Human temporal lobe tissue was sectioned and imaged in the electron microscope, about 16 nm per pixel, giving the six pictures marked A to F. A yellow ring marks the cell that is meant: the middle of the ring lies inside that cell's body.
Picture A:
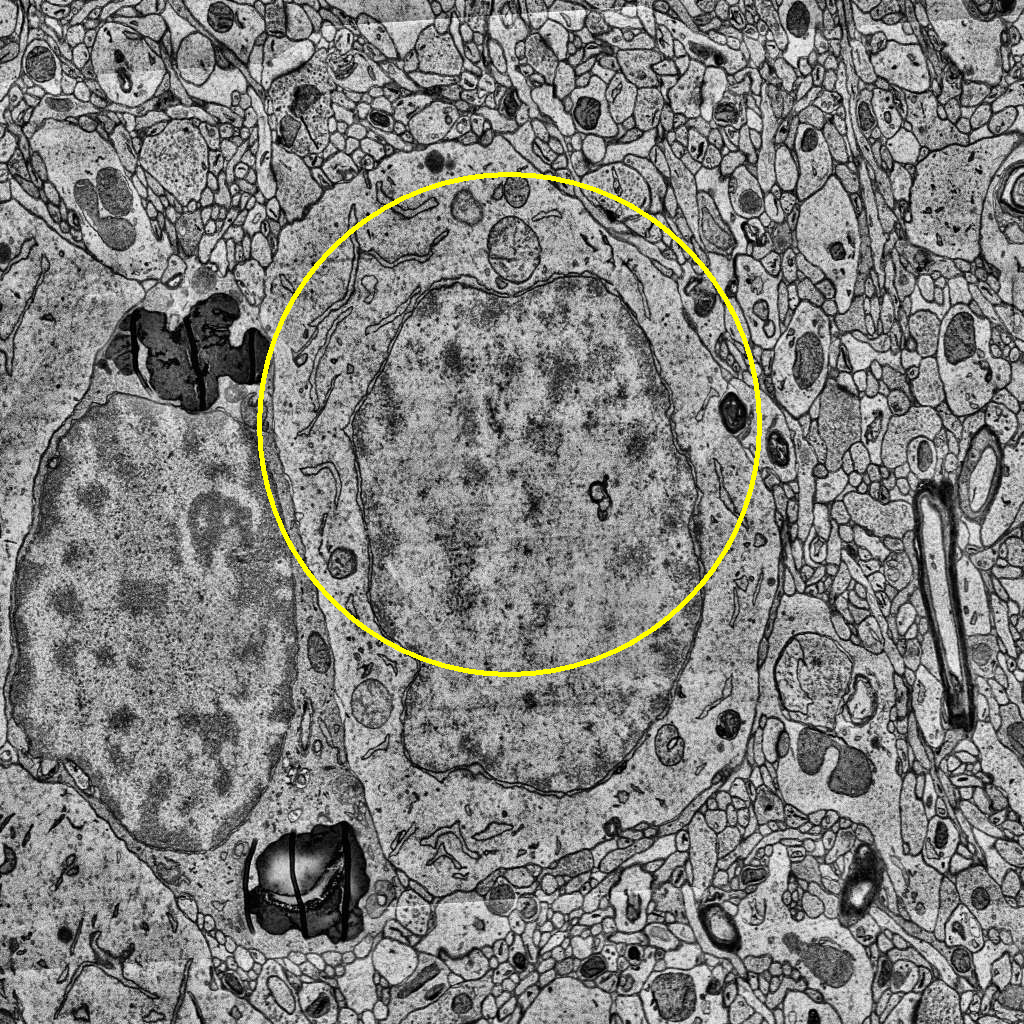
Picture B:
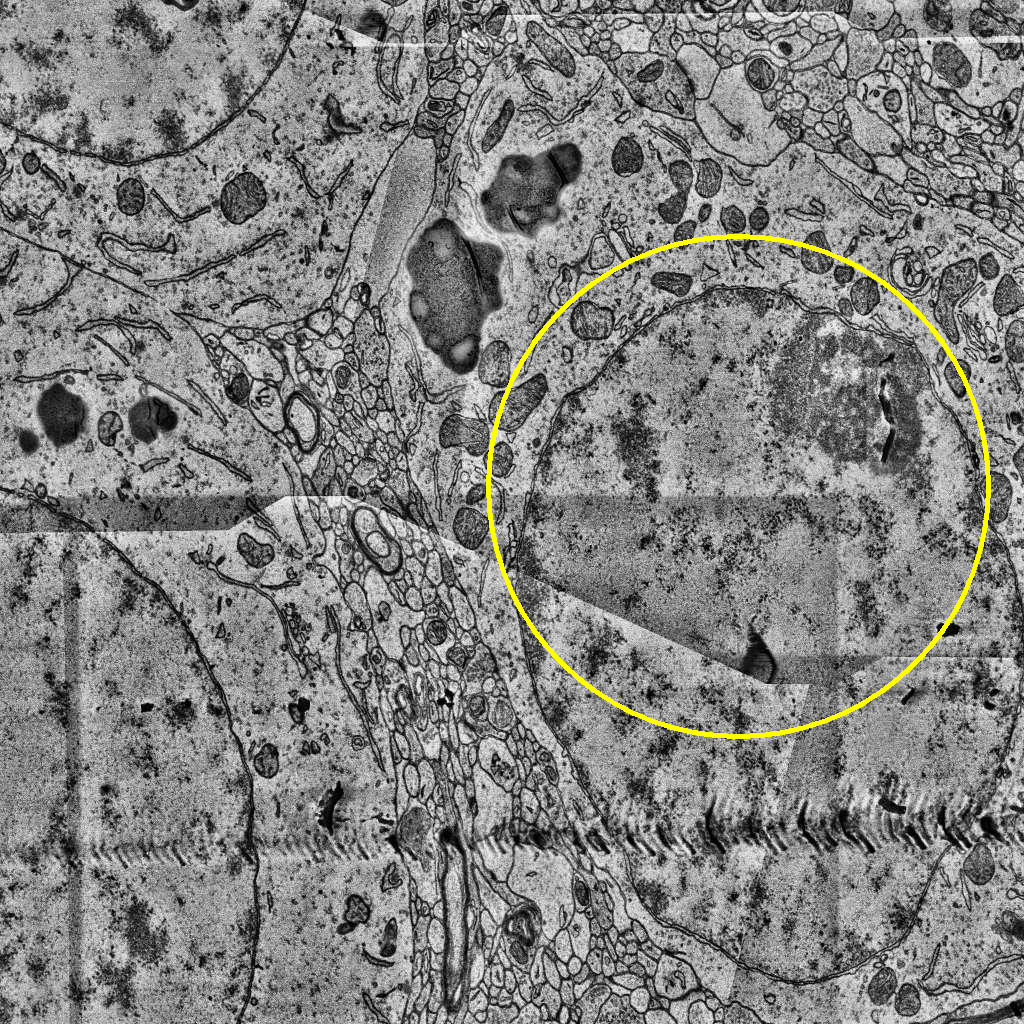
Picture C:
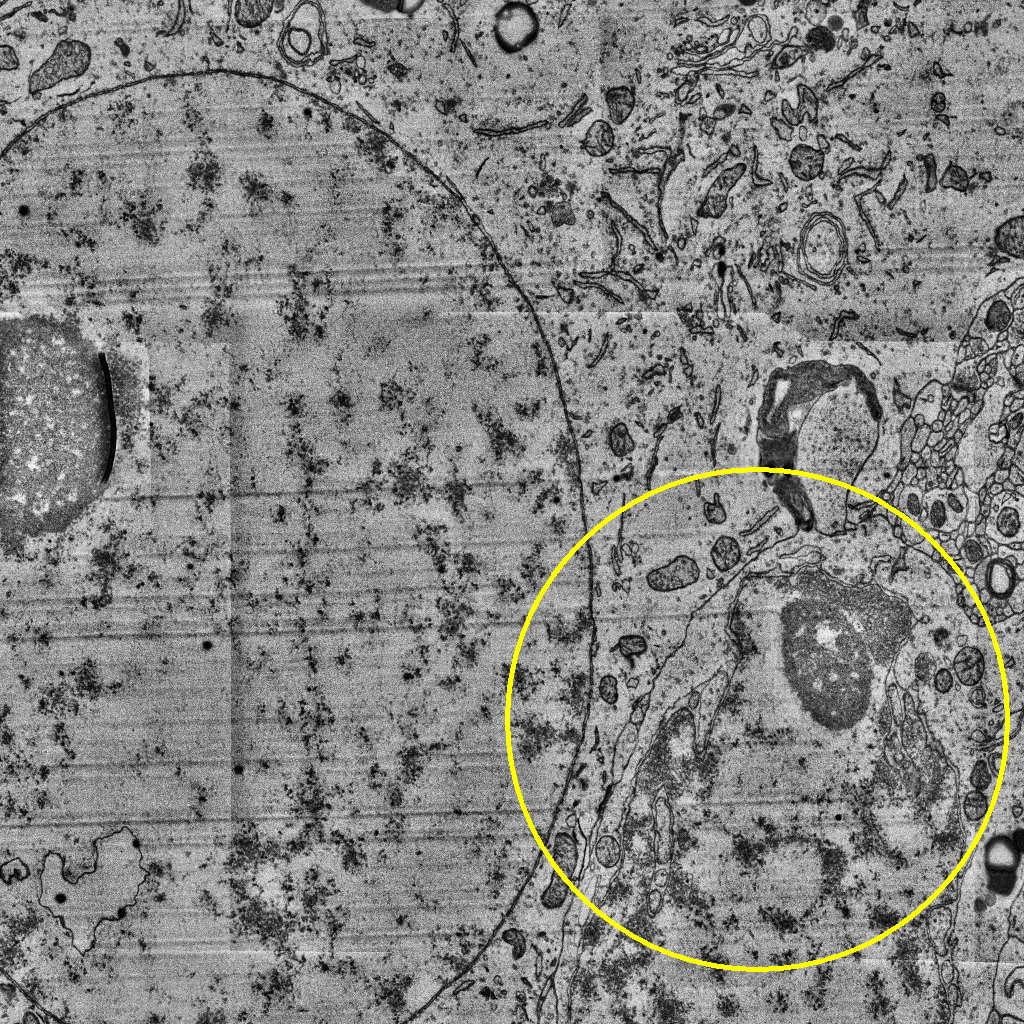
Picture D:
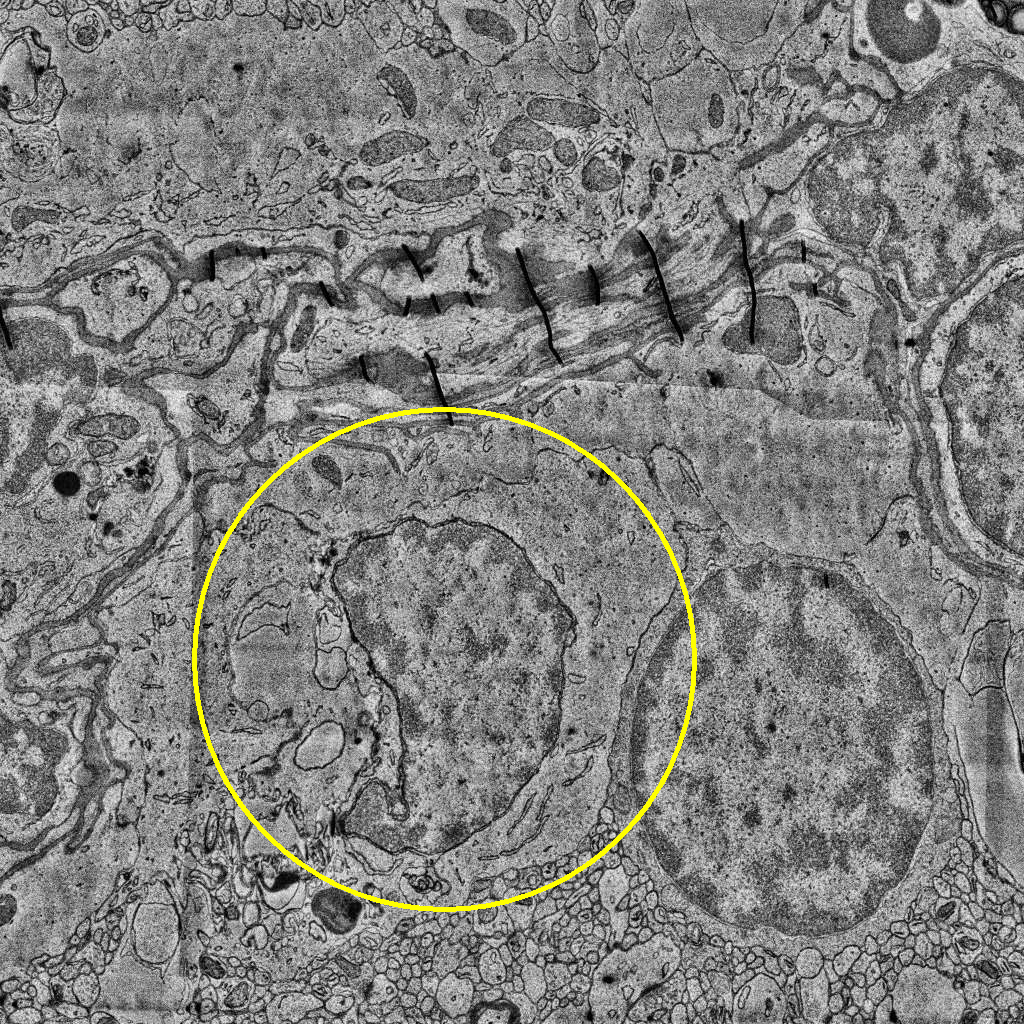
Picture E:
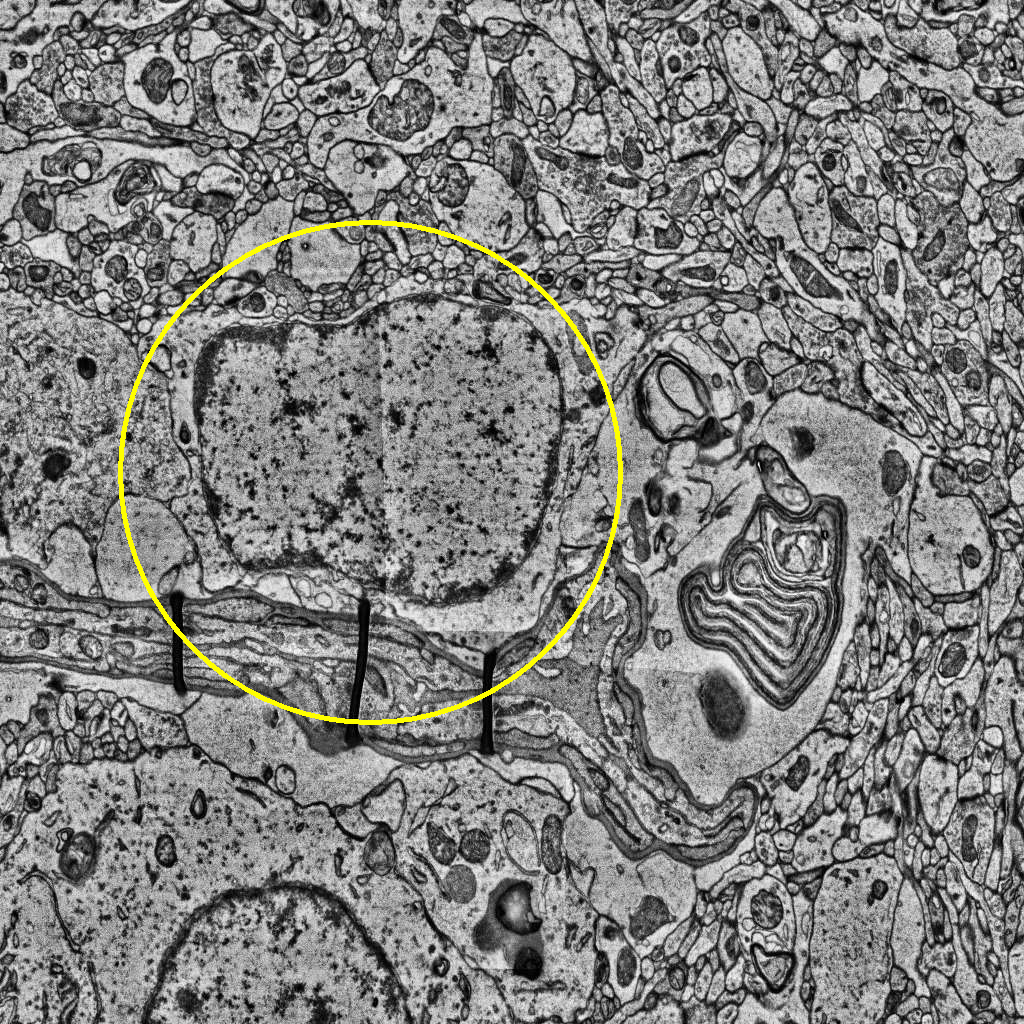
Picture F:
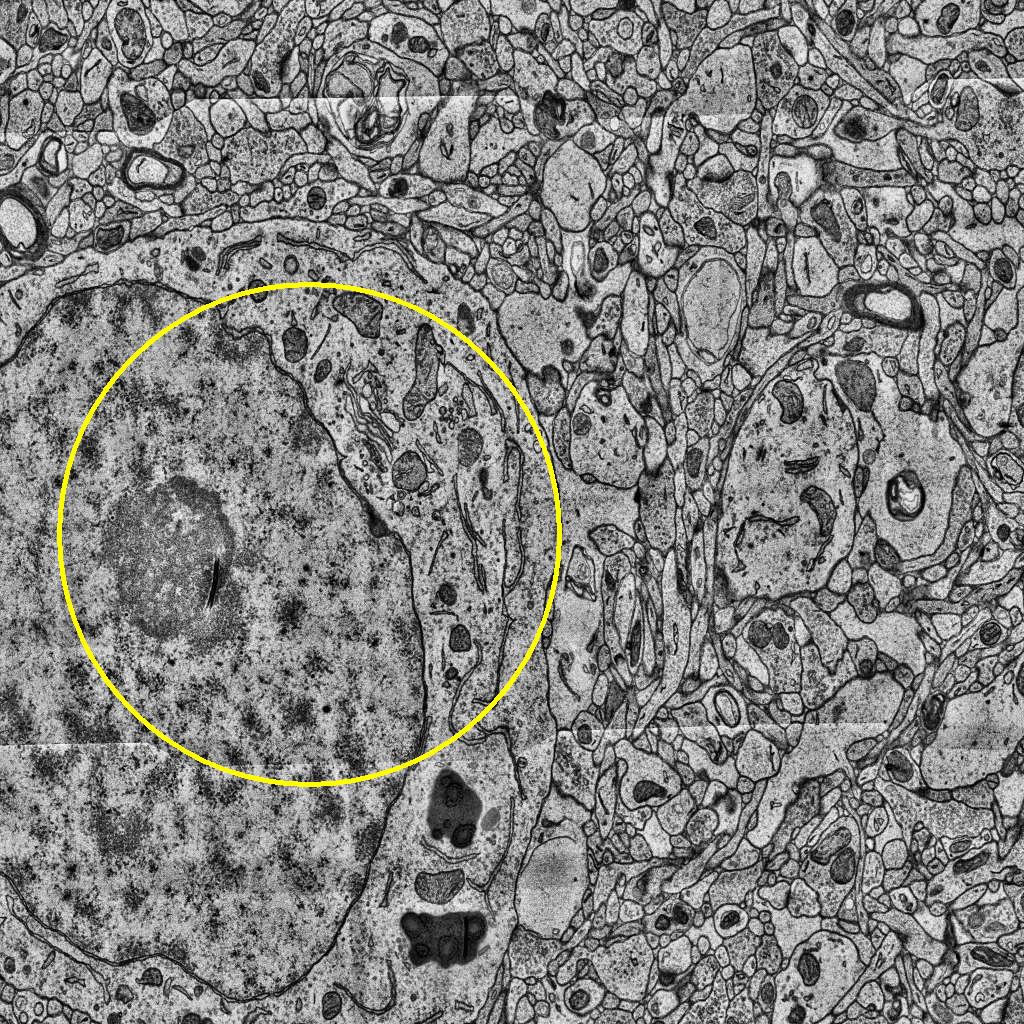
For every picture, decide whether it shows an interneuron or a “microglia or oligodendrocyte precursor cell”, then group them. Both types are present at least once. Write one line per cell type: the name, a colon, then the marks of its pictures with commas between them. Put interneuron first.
interneuron: A, B, C, F
microglia or oligodendrocyte precursor cell: D, E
